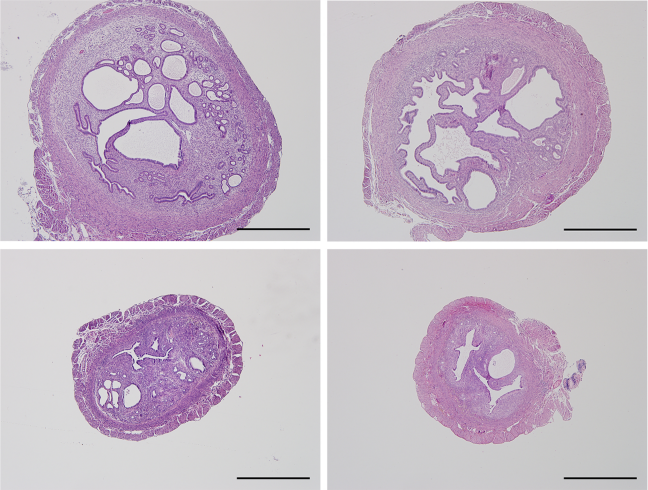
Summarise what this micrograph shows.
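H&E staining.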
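Four cross-sections of uterus stained pink and purple. Each has an irregular central lumen lined by epithelium. Around the lumen lies a stroma containing round glands, and some of these glands are widely dilated. An outer ring of smooth muscle encloses each section, and the lower two sections are smaller overall than the upper two.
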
